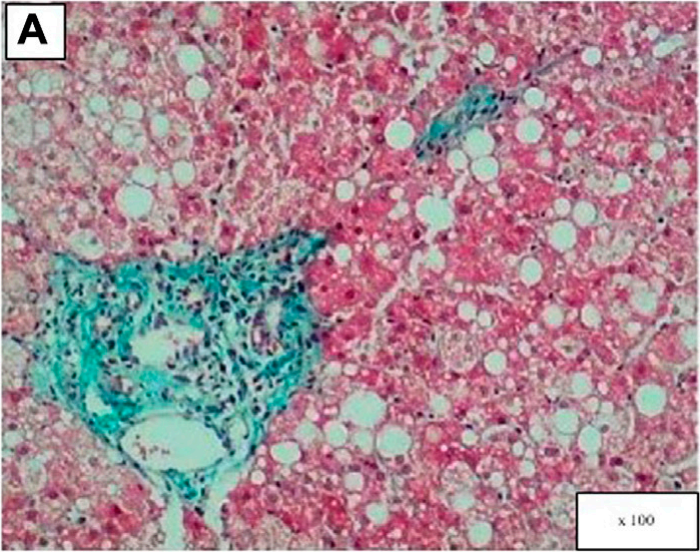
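This is liver tissue in which the hepatocytes, with red-stained cytoplasm, contain many round, clear fat vacuoles of mixed size, some large and some small, scattered diffusely through the parenchyma. At the lower left, a portal area containing vessels is expanded by green-blue fibrous tissue that holds many small dark nuclei.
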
